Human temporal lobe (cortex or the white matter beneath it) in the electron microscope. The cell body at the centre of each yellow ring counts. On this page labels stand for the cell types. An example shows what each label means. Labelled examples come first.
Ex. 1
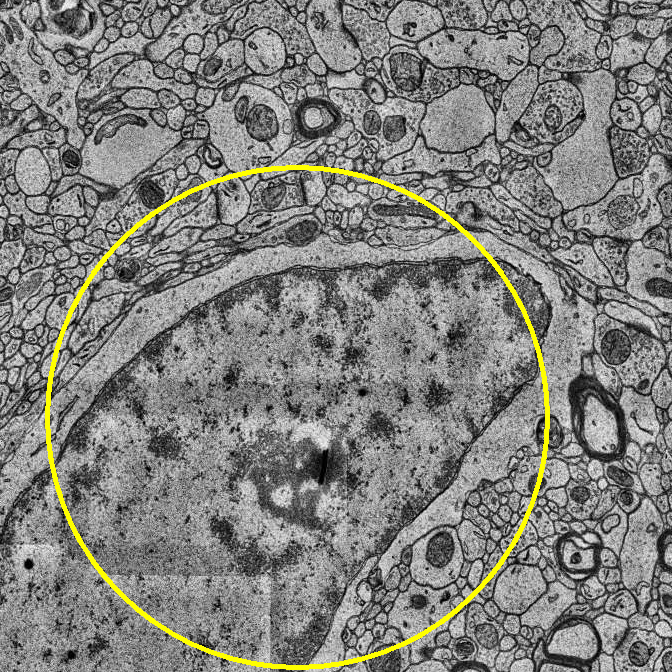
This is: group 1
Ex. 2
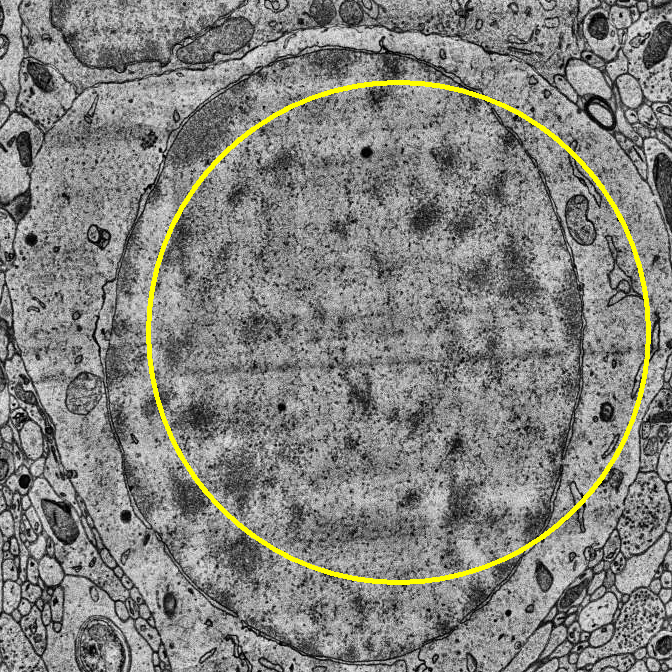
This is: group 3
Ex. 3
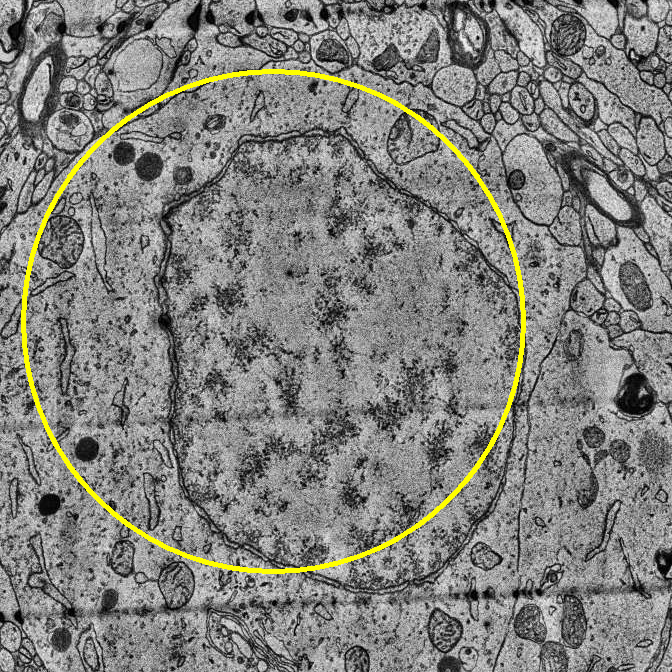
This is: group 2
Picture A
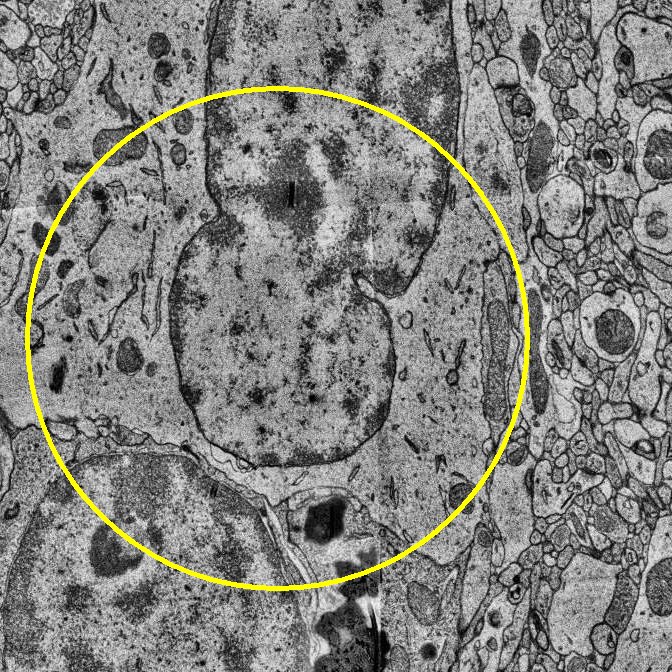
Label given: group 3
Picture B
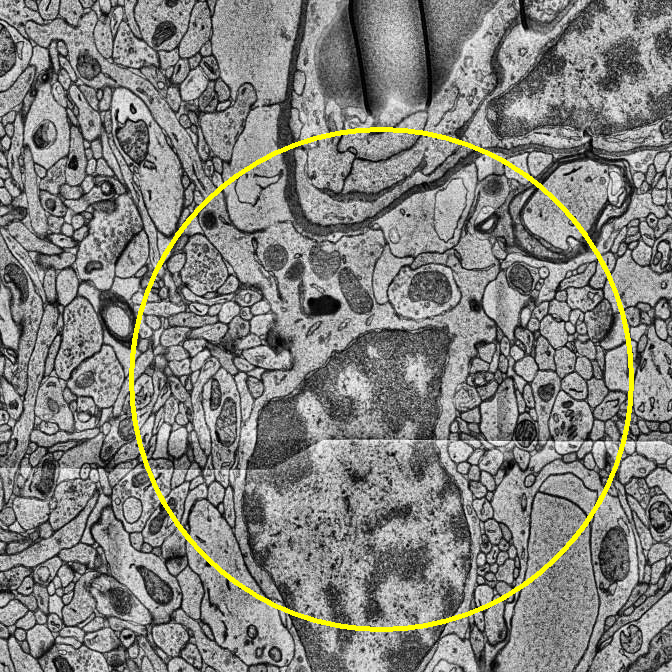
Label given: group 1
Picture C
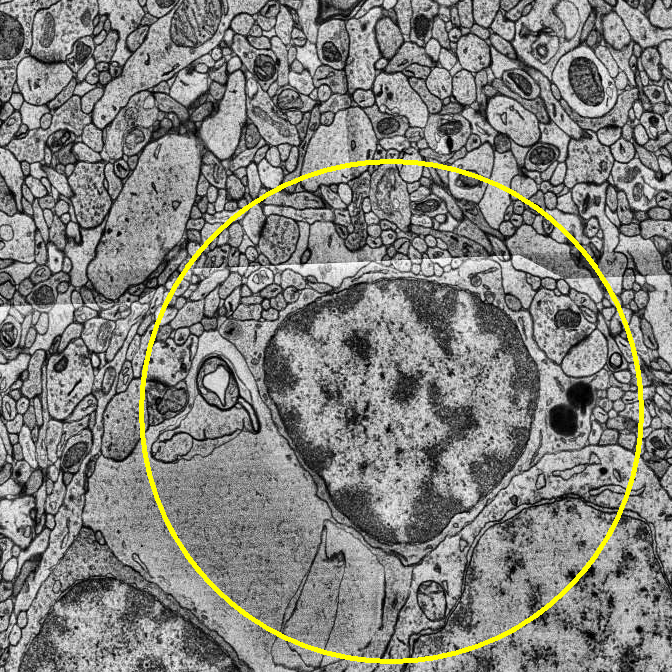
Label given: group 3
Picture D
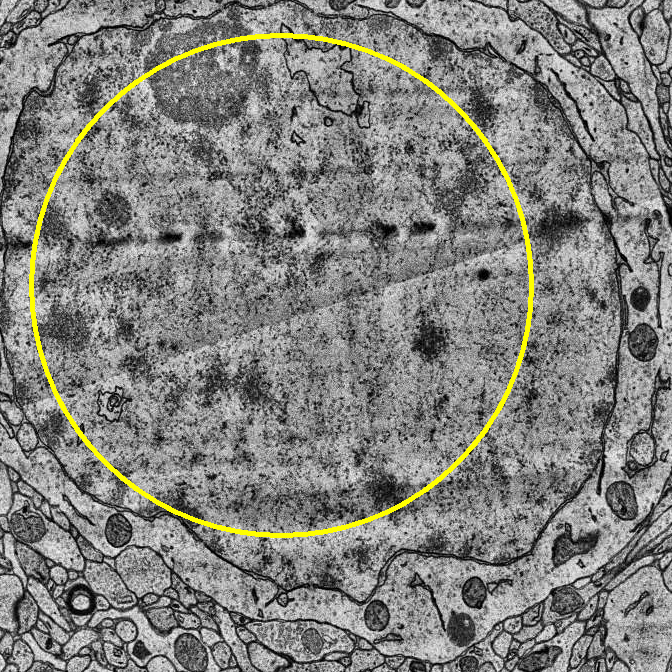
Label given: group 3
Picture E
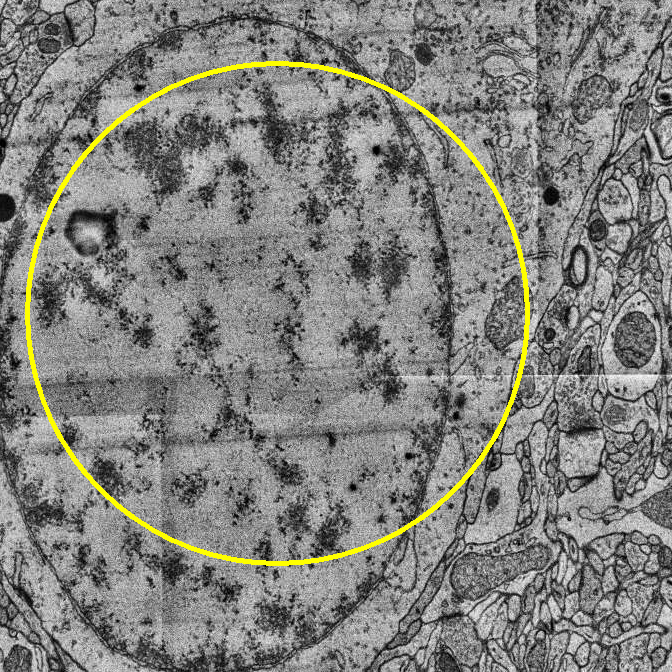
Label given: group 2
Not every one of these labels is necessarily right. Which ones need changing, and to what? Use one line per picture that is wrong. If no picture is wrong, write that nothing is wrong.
A: not group 3 but group 1
C: not group 3 but group 1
